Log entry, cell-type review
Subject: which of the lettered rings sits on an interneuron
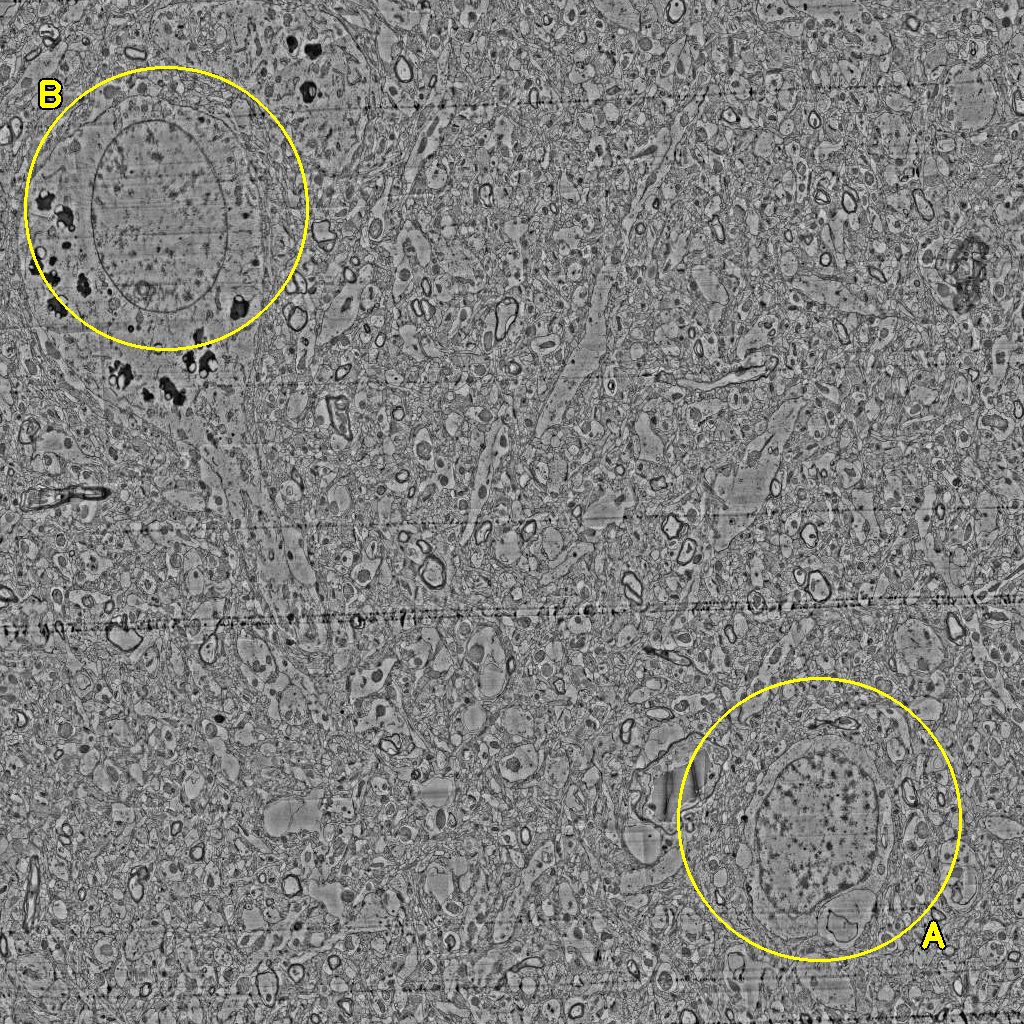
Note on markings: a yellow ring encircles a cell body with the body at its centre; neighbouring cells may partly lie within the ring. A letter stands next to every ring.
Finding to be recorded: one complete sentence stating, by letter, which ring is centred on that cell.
The cell sits at the centre of ring A.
